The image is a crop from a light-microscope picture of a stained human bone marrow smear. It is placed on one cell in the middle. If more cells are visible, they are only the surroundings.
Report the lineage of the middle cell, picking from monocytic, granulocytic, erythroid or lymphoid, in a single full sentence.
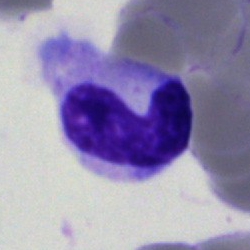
The cell in the center of the crop is counted in the granulocytic lineage.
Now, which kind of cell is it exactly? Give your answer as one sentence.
The centrally placed cell is classified as a band neutrophil.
